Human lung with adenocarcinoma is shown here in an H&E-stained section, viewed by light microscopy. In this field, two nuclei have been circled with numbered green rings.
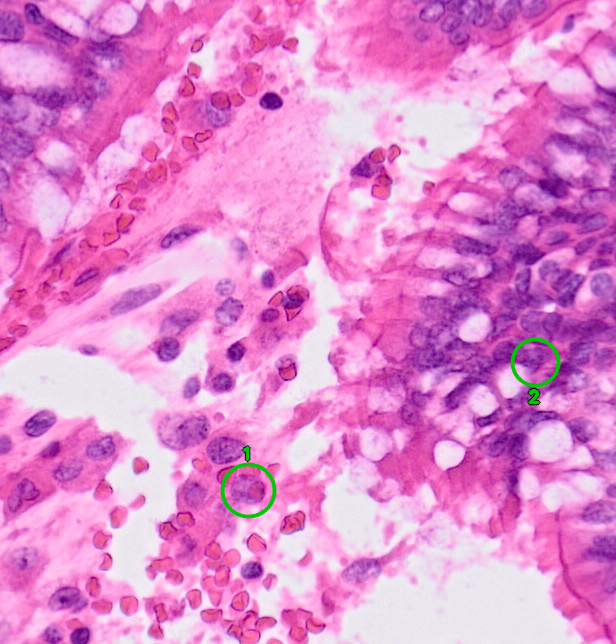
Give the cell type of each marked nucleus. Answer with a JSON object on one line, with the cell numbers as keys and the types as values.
{"1": "macrophage or monocyte", "2": "ciliated epithelial cell"}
